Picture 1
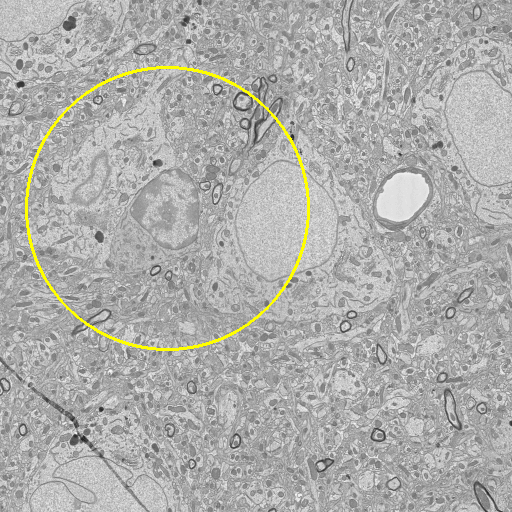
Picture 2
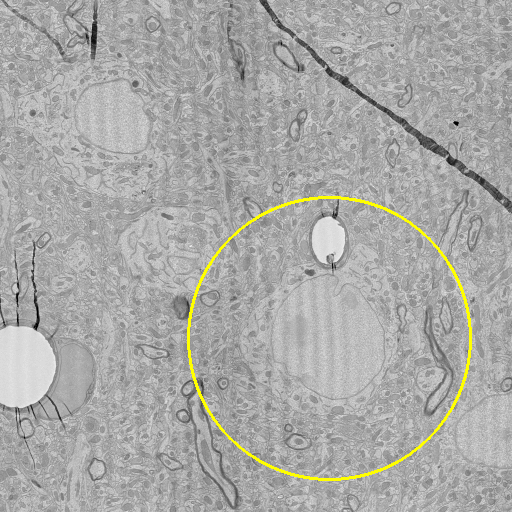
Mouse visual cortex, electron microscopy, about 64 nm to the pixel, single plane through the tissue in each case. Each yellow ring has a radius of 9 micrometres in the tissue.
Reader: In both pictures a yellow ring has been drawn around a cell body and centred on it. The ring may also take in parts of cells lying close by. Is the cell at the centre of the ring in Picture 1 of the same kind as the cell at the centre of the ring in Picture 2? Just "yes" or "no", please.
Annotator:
no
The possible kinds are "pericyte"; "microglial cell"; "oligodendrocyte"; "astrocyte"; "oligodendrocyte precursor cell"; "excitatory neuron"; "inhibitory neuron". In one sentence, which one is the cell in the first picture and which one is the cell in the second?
The cell ringed in the second picture is an excitatory neuron, whereas the one ringed in the first is an oligodendrocyte.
